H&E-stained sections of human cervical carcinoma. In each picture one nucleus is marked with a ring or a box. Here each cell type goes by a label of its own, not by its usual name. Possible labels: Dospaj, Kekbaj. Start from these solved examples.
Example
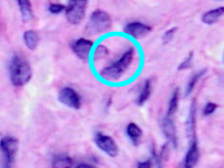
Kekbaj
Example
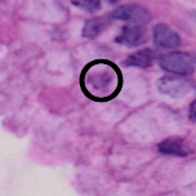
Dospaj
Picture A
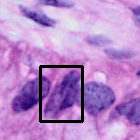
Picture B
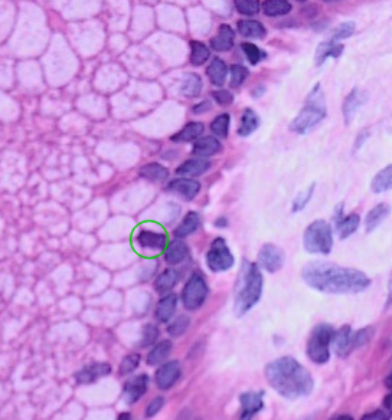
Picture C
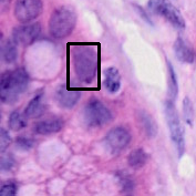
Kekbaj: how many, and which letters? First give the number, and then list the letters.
0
